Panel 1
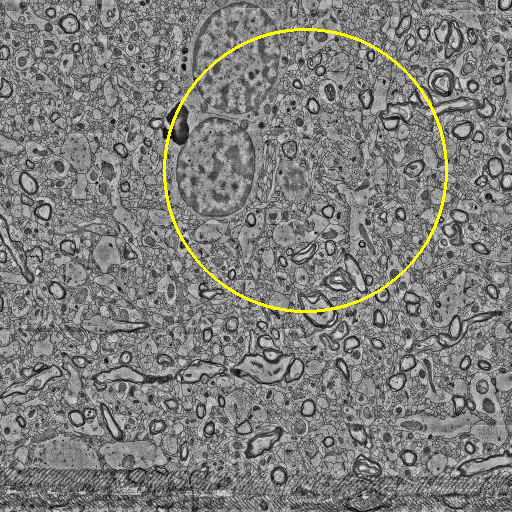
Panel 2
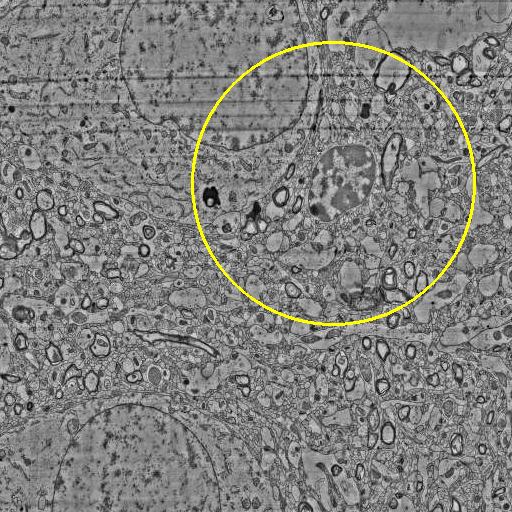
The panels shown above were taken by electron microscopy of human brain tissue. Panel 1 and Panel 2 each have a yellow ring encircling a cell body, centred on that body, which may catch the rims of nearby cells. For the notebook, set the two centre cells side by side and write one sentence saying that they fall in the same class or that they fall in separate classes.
The centred cells of Panel 1 and Panel 2 fall in separate classes.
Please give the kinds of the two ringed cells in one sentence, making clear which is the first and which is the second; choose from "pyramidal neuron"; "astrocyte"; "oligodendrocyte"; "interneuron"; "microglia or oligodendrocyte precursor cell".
In the second picture the ringed cell is a microglial cell or oligodendrocyte precursor cell; in the first it is an oligodendrocyte.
